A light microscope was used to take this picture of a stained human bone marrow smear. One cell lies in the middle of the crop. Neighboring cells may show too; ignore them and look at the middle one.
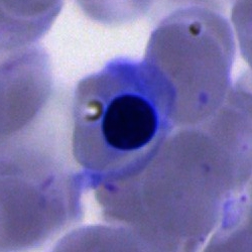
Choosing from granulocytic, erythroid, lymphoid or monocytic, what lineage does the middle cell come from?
erythroid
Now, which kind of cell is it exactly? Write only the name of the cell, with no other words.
erythroblast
